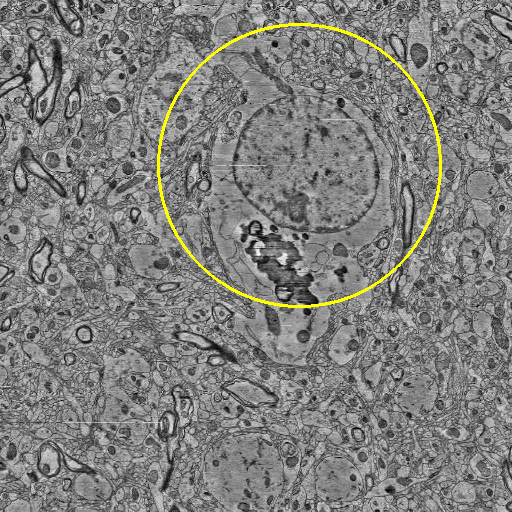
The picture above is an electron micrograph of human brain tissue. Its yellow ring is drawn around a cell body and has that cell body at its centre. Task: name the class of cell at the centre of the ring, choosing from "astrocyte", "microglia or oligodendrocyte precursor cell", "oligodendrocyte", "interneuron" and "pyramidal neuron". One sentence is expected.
The ring surrounds the body of an astrocyte.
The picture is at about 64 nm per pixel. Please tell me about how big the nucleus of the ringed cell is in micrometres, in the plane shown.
Roughly 9 micrometres across for the nucleus, in this plane.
